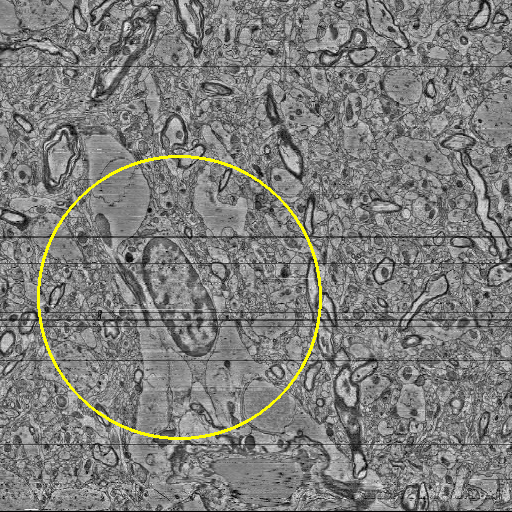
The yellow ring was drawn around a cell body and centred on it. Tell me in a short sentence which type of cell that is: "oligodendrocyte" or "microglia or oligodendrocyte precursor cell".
The cell at the ring's centre is a microglial cell or oligodendrocyte precursor cell.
